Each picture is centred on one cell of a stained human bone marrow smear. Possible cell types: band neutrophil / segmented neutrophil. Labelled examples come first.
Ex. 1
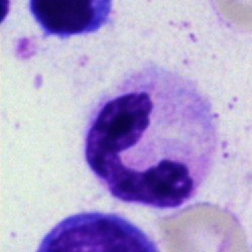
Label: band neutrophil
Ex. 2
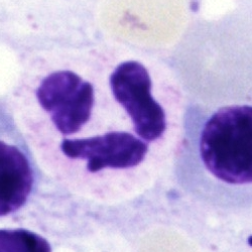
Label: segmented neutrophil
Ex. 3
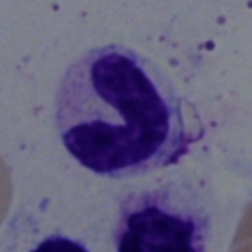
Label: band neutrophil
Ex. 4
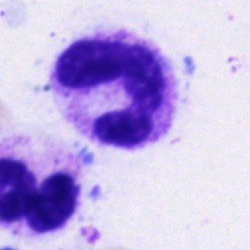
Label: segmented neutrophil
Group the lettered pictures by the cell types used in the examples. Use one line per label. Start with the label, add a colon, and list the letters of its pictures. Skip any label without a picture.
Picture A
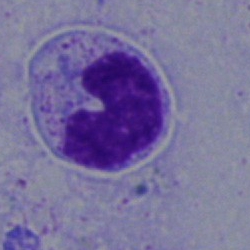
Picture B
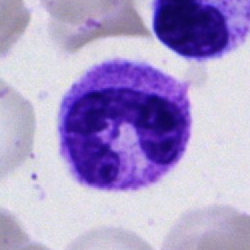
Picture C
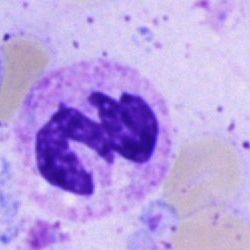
band neutrophil: A, B
segmented neutrophil: C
